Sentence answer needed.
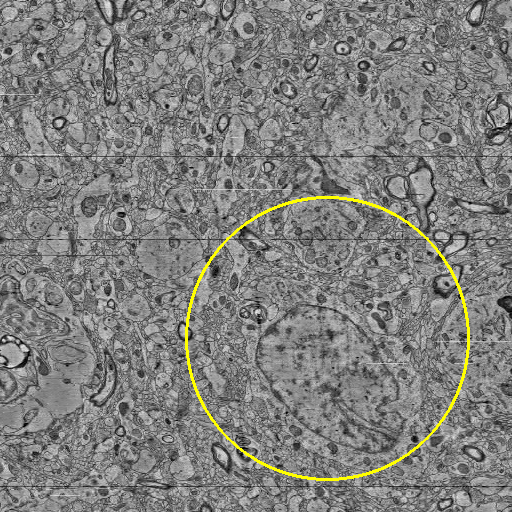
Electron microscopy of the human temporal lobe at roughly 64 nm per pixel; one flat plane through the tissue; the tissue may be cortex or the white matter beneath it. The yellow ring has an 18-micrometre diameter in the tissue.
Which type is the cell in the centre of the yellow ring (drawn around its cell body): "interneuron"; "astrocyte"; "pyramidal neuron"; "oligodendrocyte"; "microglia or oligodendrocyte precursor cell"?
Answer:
In the centre of the yellow ring is an interneuron.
